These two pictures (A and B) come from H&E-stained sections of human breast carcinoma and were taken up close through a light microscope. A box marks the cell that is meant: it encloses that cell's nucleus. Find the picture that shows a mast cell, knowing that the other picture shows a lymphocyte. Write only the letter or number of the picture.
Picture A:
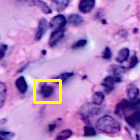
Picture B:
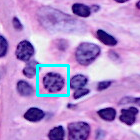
B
